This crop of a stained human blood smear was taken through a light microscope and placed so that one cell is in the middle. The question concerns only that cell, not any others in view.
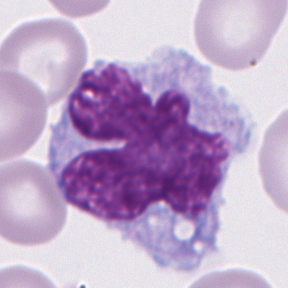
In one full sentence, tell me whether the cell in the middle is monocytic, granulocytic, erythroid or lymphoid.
Regarding lineage, the cell in the center of this crop should be listed as monocytic.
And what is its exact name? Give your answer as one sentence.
Where the crop is centred, there is a monocyte.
